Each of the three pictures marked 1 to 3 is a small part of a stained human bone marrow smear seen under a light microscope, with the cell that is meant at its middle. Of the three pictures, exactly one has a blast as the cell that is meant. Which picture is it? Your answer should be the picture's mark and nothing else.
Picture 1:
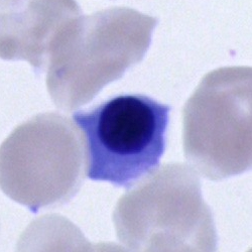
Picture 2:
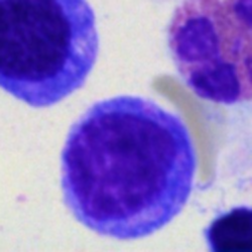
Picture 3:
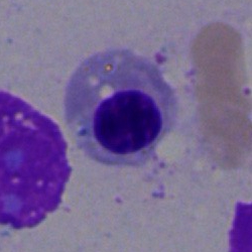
2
